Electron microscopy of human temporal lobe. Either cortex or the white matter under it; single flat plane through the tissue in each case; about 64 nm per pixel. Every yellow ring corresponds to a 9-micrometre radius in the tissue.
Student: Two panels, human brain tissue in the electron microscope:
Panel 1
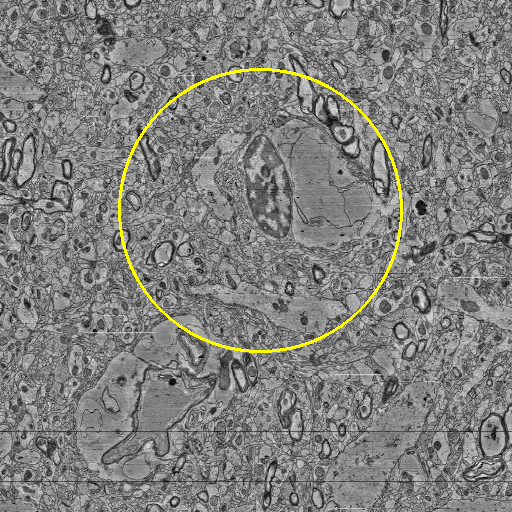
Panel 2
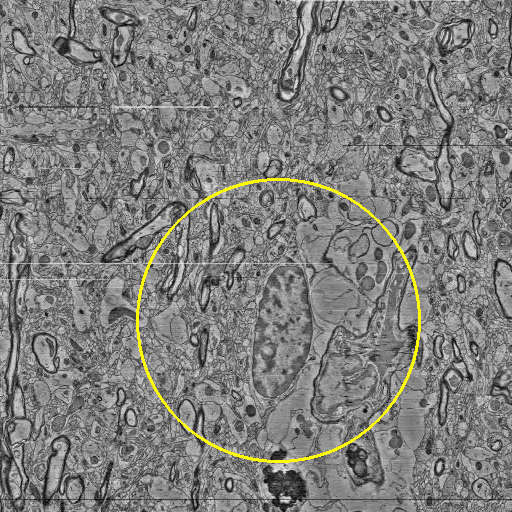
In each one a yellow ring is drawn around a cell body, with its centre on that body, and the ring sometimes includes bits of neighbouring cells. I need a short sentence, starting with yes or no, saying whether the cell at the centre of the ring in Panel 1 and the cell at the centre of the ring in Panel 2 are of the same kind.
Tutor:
Yes, they are the same kind of cell.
